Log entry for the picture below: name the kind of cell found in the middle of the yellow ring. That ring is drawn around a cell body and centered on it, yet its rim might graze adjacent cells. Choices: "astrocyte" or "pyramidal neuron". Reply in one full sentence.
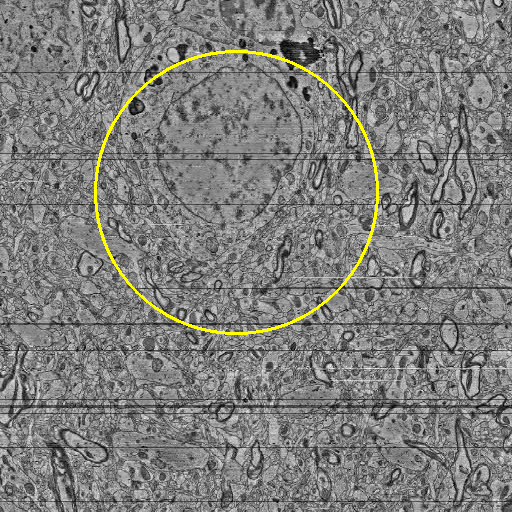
The cell in the middle of the yellow ring in this picture is a pyramidal neuron.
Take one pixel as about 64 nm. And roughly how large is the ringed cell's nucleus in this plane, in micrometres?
The nucleus is approximately 11 micrometers long by 9 micrometers wide in this plane.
